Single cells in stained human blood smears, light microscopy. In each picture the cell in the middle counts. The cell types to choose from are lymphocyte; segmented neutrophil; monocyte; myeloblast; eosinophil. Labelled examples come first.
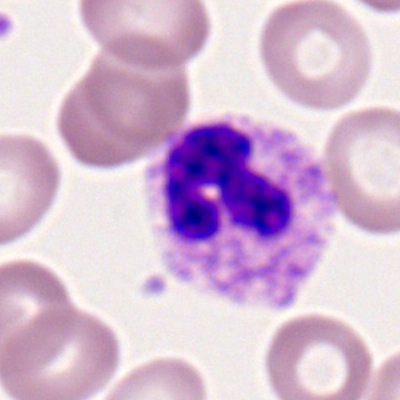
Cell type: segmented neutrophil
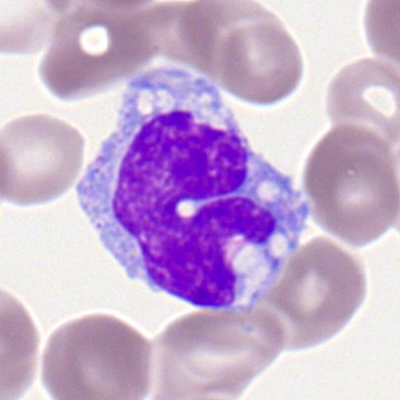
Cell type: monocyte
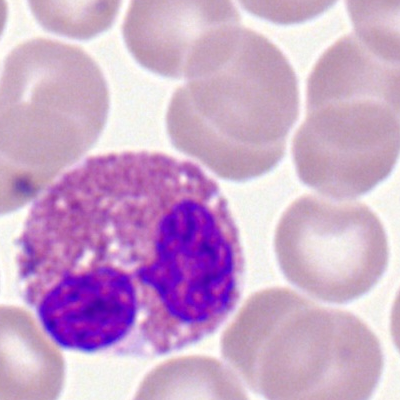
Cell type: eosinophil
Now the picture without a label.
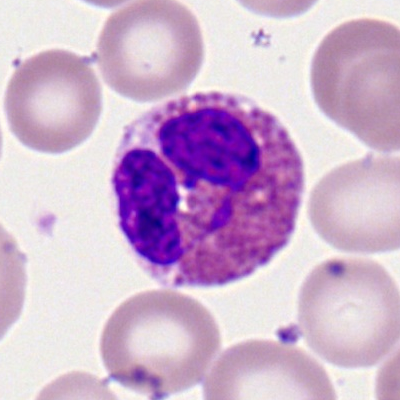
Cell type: eosinophil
